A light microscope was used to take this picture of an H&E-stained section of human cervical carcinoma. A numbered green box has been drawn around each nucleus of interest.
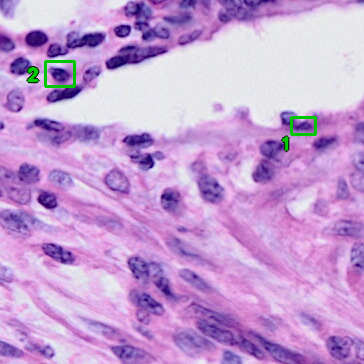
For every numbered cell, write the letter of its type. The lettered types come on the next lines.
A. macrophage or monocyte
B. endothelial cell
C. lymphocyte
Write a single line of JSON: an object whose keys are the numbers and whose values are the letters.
{"1": "B", "2": "C"}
